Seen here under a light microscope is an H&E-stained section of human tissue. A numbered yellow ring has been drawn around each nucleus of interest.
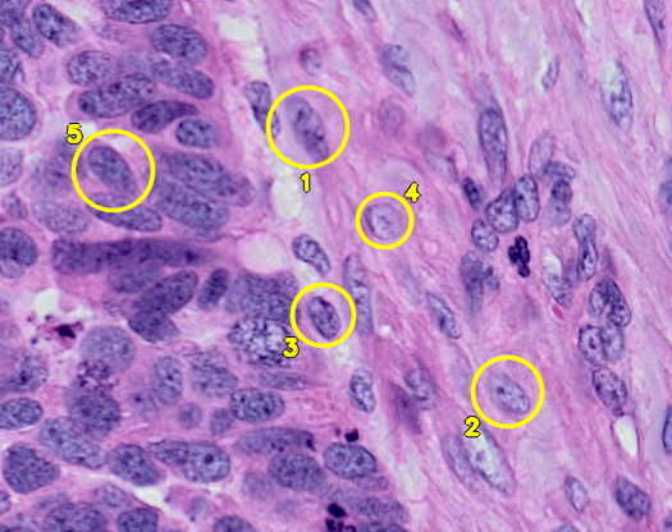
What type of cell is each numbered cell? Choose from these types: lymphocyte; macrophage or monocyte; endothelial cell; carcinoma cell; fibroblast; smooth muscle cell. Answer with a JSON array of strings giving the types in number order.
["fibroblast", "fibroblast", "macrophage or monocyte", "fibroblast", "carcinoma cell"]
